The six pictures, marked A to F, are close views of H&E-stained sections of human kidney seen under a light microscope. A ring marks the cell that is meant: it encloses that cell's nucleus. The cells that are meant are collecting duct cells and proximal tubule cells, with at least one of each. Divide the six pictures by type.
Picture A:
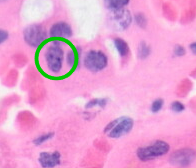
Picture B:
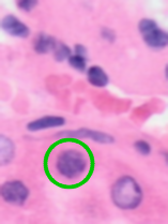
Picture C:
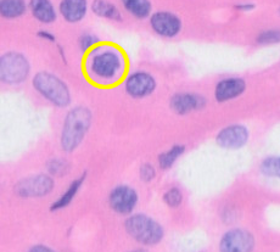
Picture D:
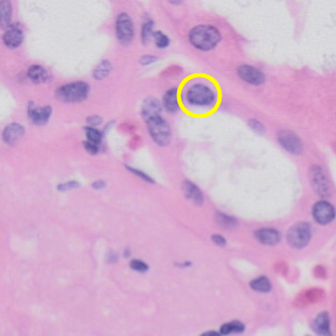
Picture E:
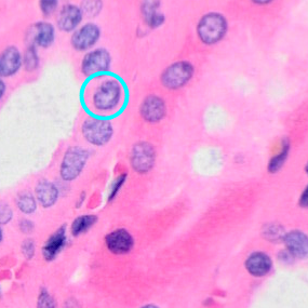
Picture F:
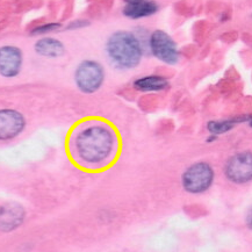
A: collecting duct cell
B: proximal tubule cell
C: collecting duct cell
D: collecting duct cell
E: collecting duct cell
F: proximal tubule cell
